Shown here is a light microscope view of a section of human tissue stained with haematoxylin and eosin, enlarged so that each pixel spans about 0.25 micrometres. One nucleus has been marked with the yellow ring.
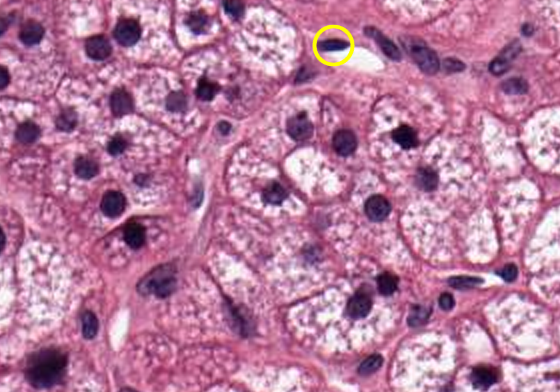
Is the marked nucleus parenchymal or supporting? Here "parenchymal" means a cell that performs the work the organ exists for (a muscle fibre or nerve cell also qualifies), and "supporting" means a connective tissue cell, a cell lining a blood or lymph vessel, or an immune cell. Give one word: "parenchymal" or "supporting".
supporting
